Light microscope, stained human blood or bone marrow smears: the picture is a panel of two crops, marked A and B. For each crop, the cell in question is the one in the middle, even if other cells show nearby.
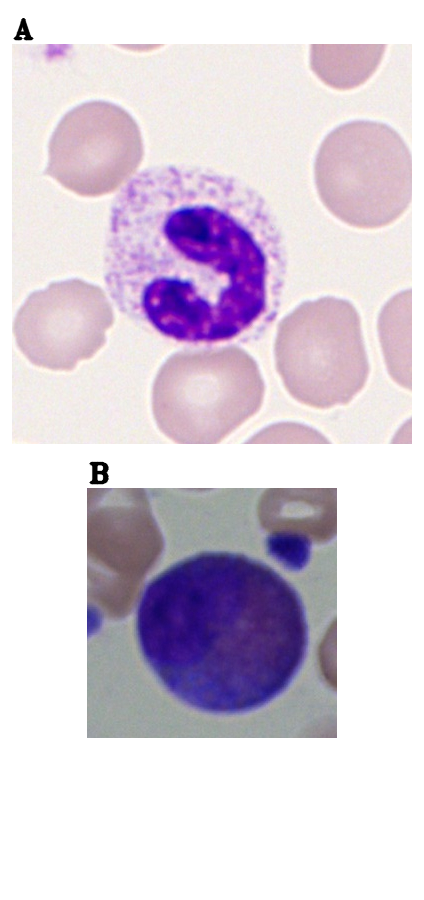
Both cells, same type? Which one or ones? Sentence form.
No, what crop A shows is a band neutrophil, and what crop B shows is an eosinophil.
